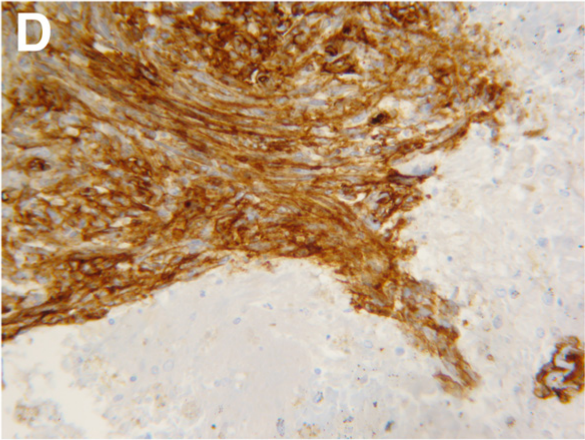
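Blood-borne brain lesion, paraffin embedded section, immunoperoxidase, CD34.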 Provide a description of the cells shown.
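Here the tumour cells are seen as a mass of elongated, spindle-shaped cells. Their cytoplasm is stained a strong brown, while their nuclei show pale blue-grey within it. The cells stream in long parallel and curving fascicles, and the paler surrounding tissue at the lower right is almost unstained.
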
